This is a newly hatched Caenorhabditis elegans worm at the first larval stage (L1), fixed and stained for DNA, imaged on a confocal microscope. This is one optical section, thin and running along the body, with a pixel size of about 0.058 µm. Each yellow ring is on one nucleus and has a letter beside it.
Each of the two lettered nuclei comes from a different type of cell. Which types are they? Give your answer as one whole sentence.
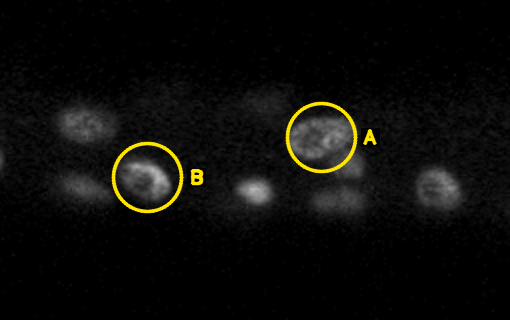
One is from a hypodermal cell (hyp), namely A, and the other, B, is from a seam cell.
